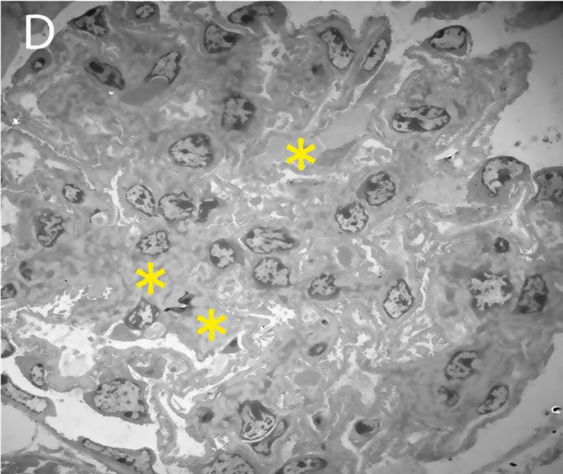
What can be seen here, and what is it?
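This is a glomerulus at low magnification, with many cell nuclei set in a dense grey tissue. Nuclei are oval to irregular, with darker chromatin clumps along their rims. Between them lies abundant amorphous grey extracellular matrix. Open capillary lumens are few and small, and most of the tuft appears compact rather than looped.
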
